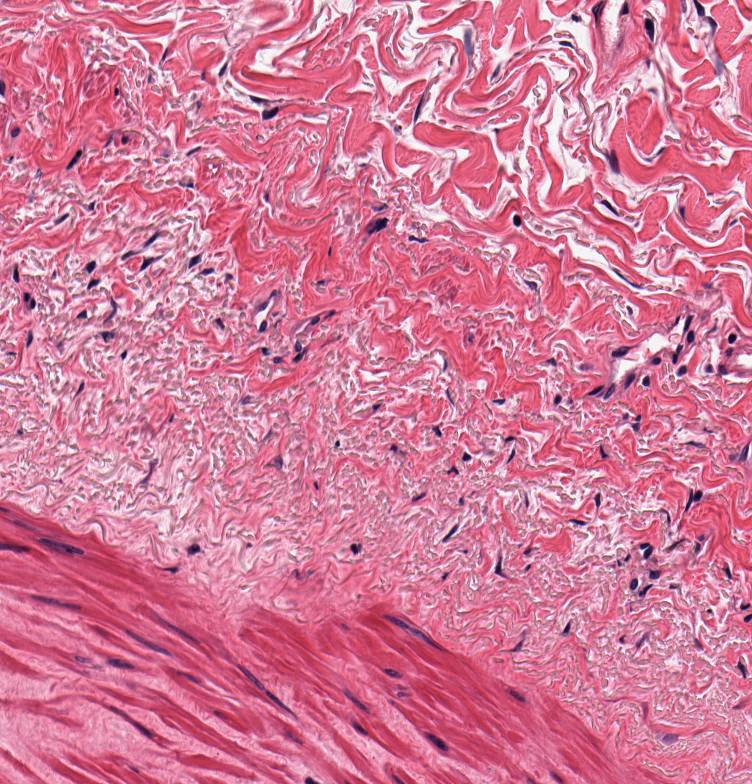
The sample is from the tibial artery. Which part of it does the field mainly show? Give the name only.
tunica adventitia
